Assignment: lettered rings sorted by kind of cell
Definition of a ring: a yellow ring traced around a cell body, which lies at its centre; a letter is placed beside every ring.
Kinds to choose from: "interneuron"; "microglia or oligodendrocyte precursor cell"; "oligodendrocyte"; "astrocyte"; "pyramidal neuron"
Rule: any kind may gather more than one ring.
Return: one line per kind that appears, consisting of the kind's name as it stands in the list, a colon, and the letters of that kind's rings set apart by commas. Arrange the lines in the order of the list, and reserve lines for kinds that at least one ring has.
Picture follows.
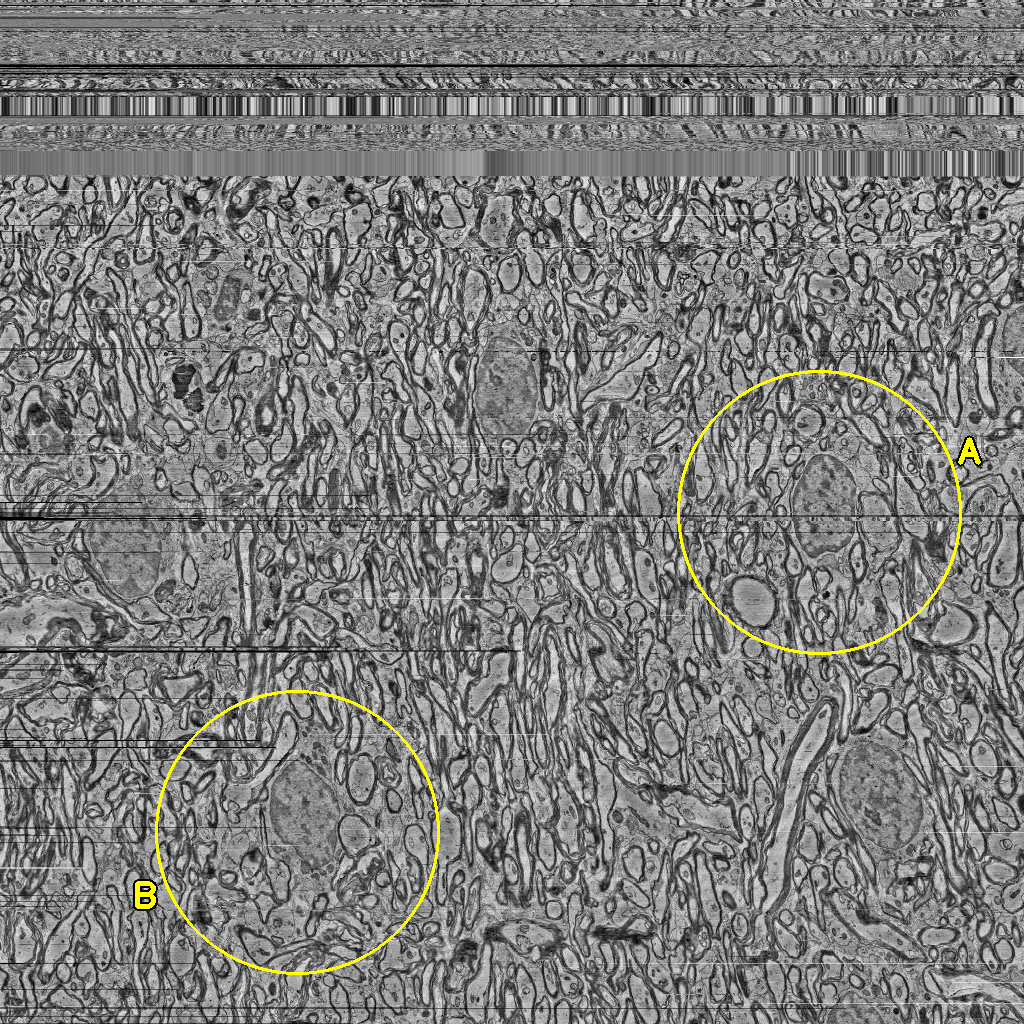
microglia or oligodendrocyte precursor cell: A
oligodendrocyte: B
